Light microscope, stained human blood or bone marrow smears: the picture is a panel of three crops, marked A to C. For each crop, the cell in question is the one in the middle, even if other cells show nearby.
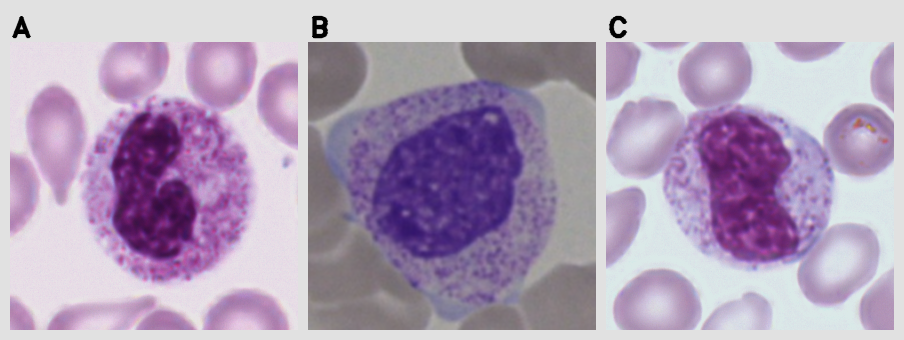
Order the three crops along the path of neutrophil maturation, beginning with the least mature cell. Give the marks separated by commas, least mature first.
B, C, A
